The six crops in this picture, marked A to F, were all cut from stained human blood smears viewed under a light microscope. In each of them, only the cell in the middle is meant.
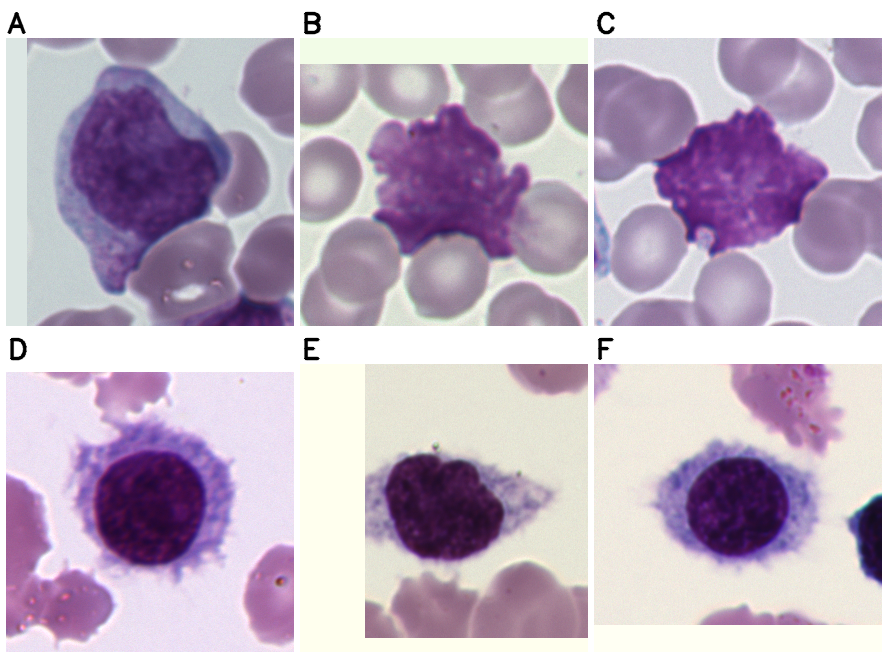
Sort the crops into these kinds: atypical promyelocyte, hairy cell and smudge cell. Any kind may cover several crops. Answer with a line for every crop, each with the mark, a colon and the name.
A: atypical promyelocyte
B: smudge cell
C: smudge cell
D: hairy cell
E: hairy cell
F: hairy cell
